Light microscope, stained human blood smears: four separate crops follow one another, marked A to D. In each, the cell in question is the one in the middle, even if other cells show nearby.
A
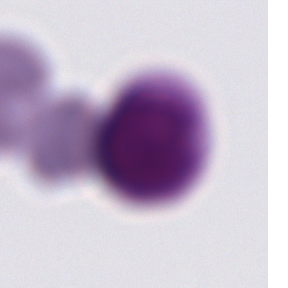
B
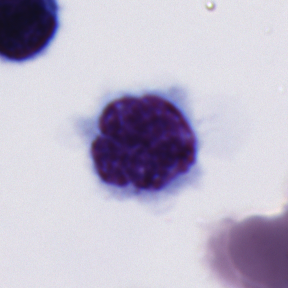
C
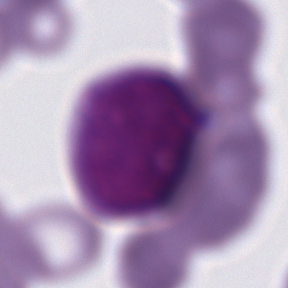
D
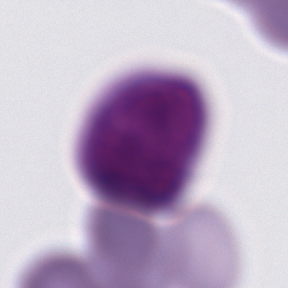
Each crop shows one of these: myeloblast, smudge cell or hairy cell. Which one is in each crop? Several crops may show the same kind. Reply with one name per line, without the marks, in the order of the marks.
smudge cell
hairy cell
smudge cell
smudge cell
